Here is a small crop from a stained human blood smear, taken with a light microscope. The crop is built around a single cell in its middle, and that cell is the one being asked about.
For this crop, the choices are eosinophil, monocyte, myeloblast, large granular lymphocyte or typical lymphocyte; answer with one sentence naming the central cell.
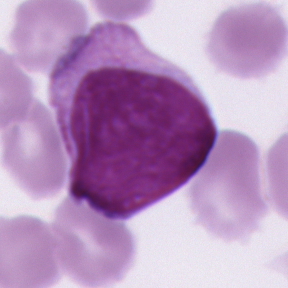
The middle of this crop is occupied by a myeloblast.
